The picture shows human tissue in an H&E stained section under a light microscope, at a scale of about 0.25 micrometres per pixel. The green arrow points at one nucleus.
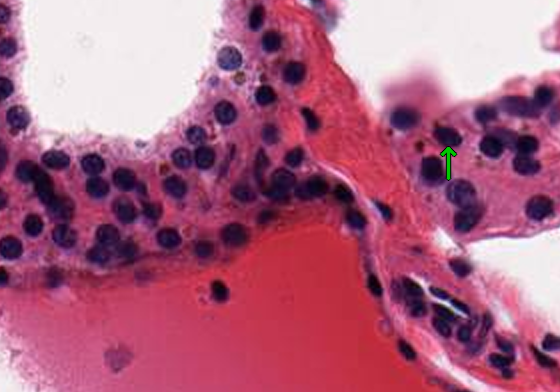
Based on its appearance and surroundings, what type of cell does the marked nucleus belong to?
thyroid follicular cell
